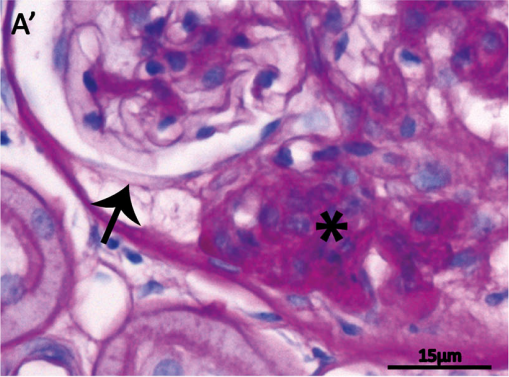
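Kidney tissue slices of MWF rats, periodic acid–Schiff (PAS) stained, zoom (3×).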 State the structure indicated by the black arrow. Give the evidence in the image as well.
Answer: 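Bifurcations of the original Bowman's capsule. The arrow points where the pink outer capsule membrane splits into two layers. One layer continues around the glomerulus, the other runs inward along the dense segment.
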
